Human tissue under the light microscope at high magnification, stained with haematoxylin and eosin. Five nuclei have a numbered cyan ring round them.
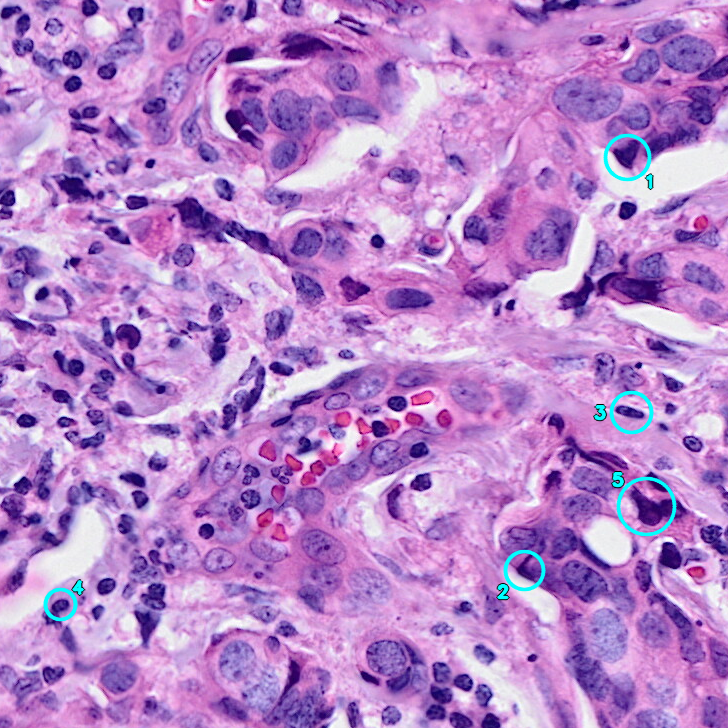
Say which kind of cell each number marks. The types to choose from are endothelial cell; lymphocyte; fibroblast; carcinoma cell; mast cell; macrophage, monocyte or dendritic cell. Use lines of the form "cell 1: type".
cell 1: carcinoma cell
cell 2: carcinoma cell
cell 3: lymphocyte
cell 4: lymphocyte
cell 5: carcinoma cell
